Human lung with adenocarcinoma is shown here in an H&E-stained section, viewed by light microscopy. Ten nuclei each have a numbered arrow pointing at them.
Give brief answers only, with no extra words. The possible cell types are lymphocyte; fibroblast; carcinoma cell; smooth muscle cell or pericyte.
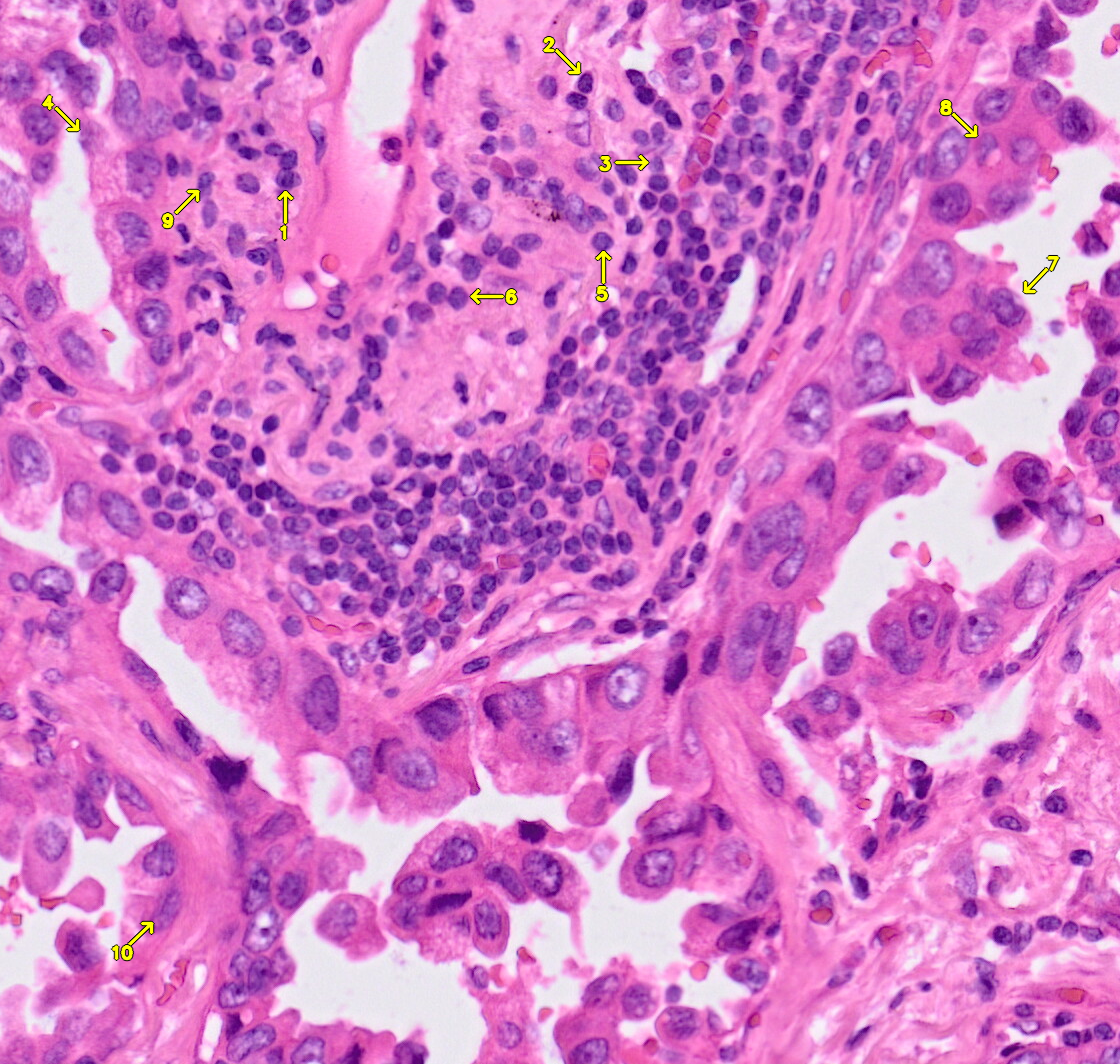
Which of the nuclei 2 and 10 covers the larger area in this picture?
10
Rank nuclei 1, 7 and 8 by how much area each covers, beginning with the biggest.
7, 8, 1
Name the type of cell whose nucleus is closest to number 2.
lymphocyte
